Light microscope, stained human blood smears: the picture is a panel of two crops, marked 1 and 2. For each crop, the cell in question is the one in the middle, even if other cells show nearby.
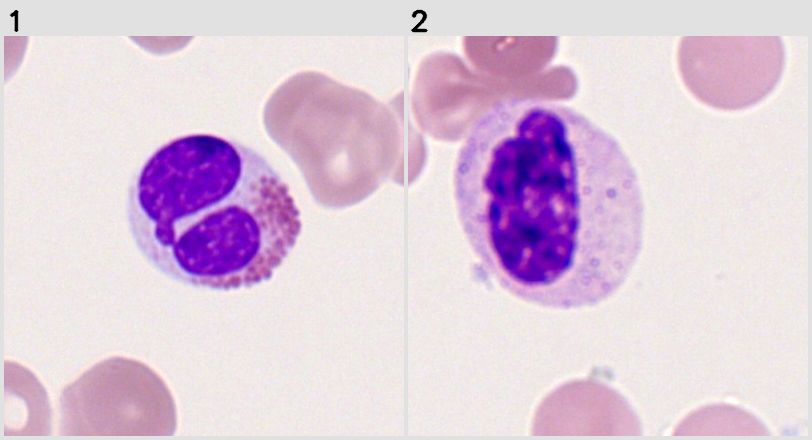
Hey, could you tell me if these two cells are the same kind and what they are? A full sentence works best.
No, an eosinophil is the cell in crop 1; a segmented neutrophil is the cell in crop 2.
